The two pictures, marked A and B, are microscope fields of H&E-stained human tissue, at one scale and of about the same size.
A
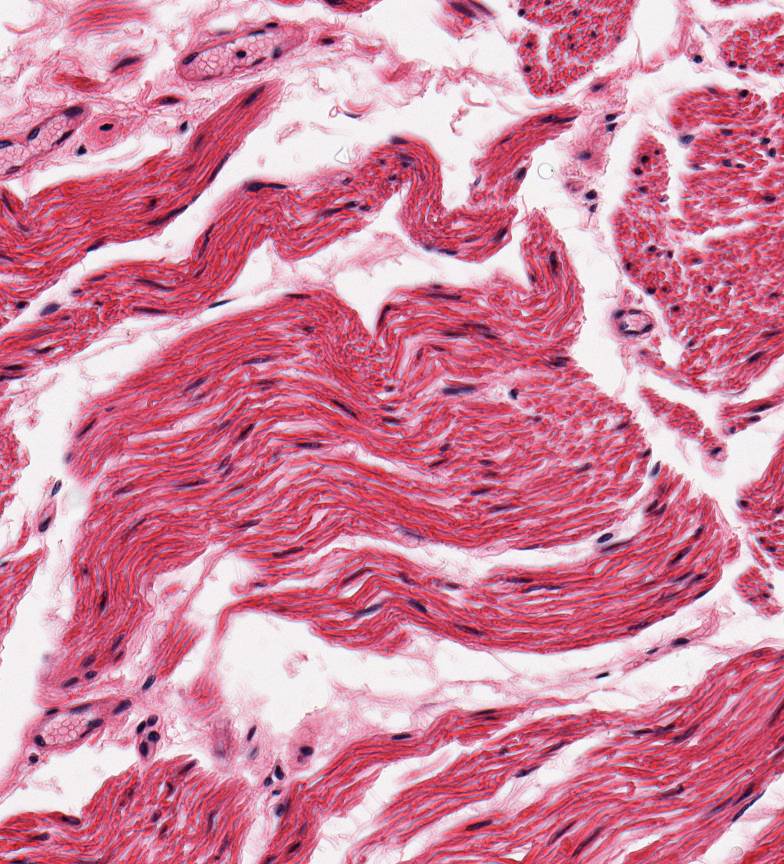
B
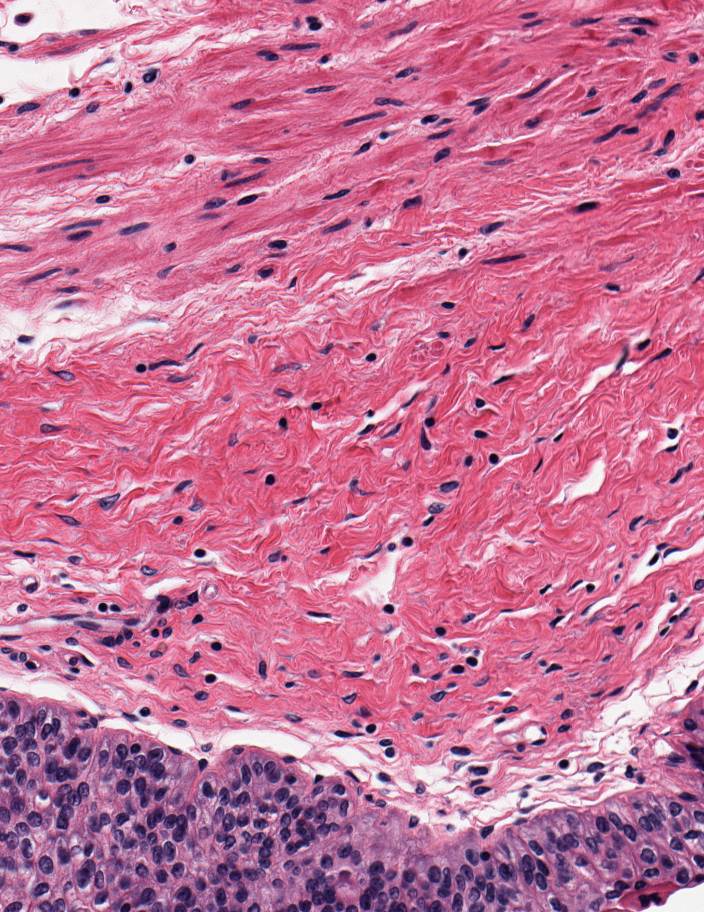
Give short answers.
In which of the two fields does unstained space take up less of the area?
B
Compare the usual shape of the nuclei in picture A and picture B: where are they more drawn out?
A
